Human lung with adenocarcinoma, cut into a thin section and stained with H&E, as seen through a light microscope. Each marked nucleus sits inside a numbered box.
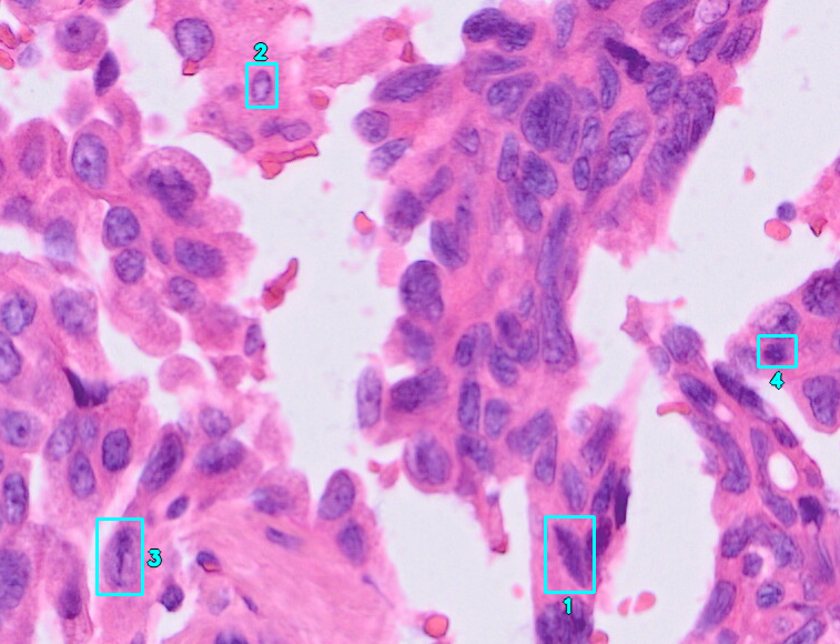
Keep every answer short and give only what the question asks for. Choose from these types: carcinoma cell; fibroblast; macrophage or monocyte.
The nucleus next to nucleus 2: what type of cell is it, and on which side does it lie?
a macrophage or monocyte; to the left of nucleus 2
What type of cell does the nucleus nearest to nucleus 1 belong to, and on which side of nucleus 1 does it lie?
a carcinoma cell, to the right of nucleus 1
